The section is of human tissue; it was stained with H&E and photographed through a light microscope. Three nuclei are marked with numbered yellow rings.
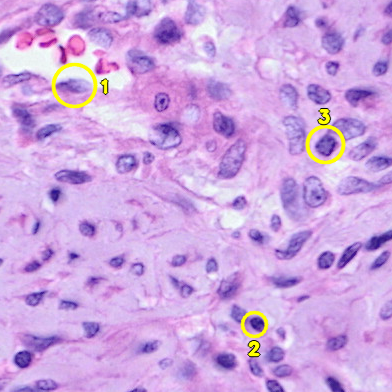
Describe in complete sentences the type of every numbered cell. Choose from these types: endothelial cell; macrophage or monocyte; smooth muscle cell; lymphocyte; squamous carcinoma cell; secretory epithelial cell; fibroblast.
Cell 1 is an endothelial cell, cell 2 is a lymphocyte and cell 3 is a lymphocyte.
